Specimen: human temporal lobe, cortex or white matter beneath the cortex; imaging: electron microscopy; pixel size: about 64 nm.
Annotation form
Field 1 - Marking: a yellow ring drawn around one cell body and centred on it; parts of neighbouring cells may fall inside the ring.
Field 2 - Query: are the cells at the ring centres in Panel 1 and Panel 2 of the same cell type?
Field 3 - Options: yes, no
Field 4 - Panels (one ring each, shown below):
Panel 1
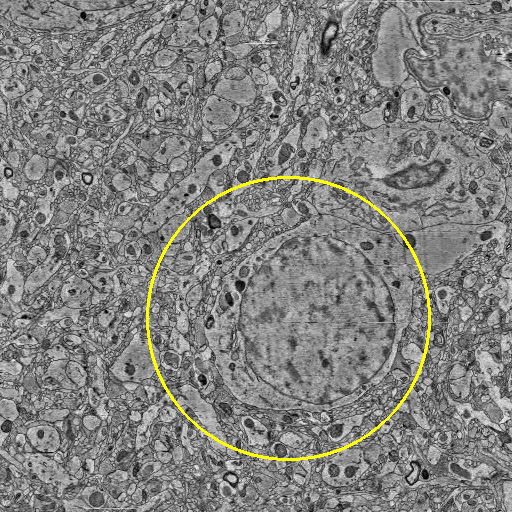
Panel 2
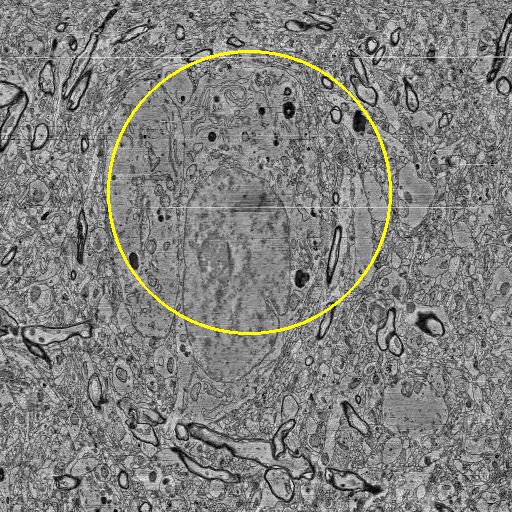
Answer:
yes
